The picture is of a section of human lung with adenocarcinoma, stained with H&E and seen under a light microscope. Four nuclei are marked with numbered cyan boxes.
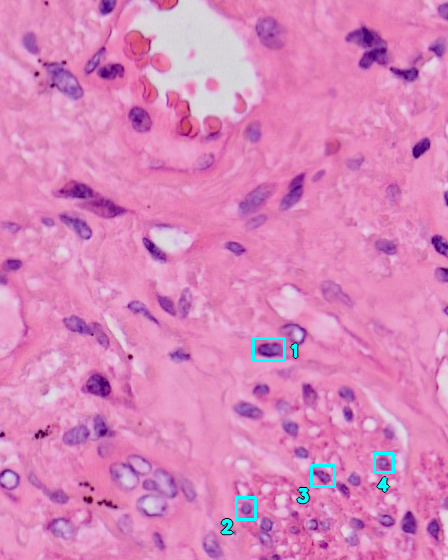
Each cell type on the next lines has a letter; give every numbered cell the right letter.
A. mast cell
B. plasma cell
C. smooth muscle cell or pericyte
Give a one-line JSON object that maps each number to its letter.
{"1": "A", "2": "C", "3": "C", "4": "C"}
